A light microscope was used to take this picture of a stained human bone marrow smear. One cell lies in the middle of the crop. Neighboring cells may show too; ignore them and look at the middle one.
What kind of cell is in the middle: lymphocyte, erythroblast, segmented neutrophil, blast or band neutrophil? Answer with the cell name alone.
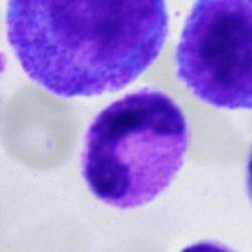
band neutrophil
